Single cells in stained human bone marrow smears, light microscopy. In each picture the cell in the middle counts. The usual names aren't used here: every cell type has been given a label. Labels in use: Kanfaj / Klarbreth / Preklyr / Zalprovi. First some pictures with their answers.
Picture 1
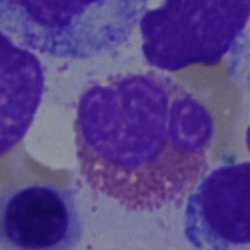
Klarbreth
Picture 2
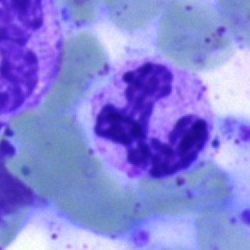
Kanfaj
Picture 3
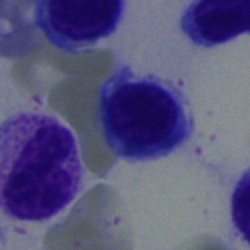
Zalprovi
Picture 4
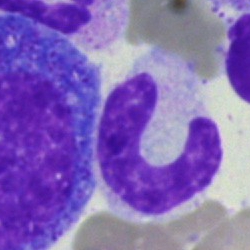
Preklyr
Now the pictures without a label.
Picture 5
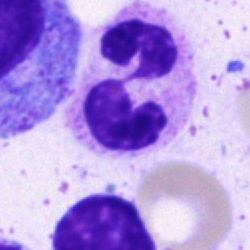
Kanfaj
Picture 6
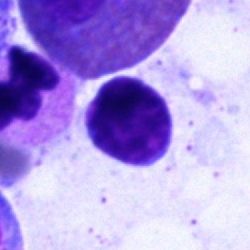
Zalprovi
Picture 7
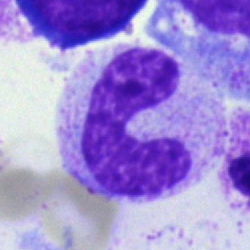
Preklyr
